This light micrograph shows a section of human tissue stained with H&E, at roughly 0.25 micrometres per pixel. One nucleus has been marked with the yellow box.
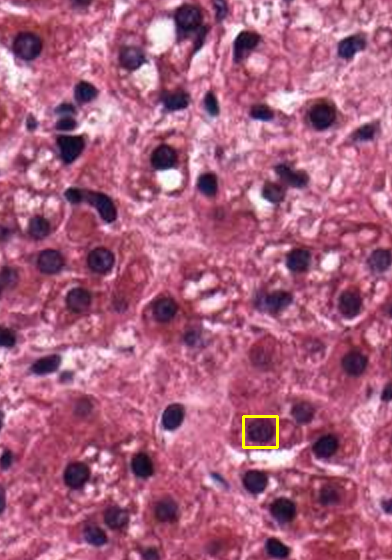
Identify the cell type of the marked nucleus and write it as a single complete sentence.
The marked nucleus forms part of an adrenal cortical cell.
